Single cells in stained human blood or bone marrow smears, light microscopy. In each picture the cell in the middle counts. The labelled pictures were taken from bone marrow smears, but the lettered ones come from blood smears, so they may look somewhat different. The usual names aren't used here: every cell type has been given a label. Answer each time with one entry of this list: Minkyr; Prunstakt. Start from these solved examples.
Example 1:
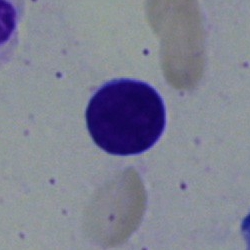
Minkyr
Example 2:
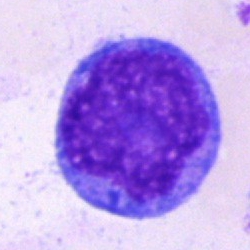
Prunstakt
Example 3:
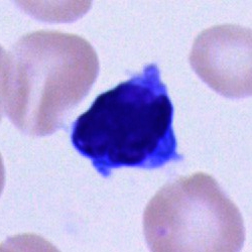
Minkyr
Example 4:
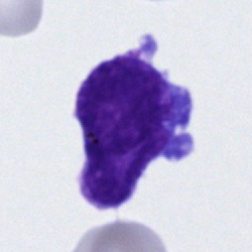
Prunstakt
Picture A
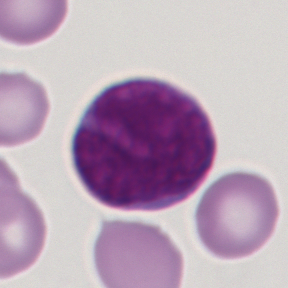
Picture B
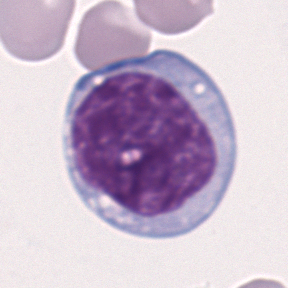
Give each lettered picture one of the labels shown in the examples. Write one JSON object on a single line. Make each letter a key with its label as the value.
{"A": "Prunstakt", "B": "Prunstakt"}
